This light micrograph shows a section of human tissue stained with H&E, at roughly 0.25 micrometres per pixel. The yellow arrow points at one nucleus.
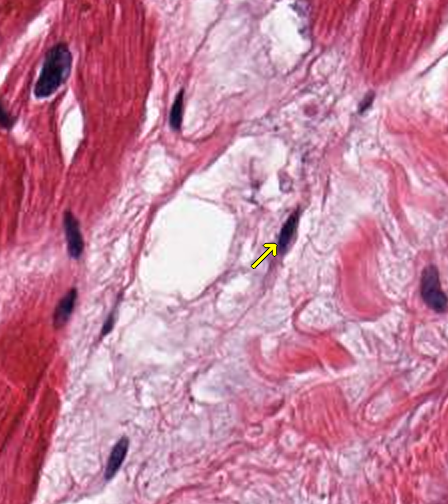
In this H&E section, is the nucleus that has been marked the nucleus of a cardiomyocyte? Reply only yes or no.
no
